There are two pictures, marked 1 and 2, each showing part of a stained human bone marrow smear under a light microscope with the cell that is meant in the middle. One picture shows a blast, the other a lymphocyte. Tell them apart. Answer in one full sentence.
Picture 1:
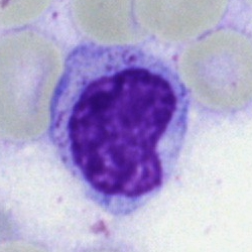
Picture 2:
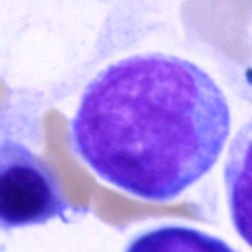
Picture 1 shows a lymphocyte and picture 2 shows a blast.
